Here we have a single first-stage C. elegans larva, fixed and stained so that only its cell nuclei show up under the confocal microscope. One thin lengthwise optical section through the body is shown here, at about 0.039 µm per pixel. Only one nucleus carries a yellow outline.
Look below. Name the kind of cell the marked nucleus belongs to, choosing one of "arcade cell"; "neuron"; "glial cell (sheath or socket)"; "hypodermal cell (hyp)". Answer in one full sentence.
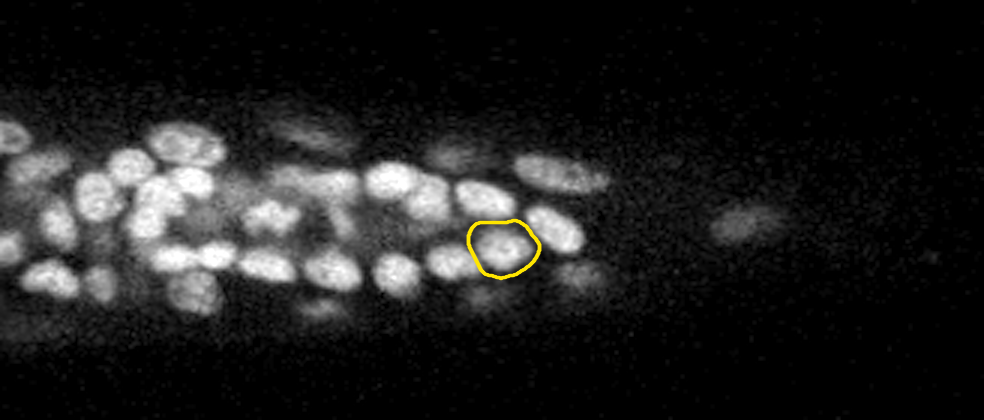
The marked nucleus is that of a hypodermal cell (hyp).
